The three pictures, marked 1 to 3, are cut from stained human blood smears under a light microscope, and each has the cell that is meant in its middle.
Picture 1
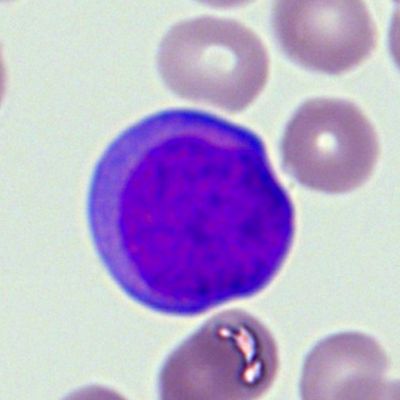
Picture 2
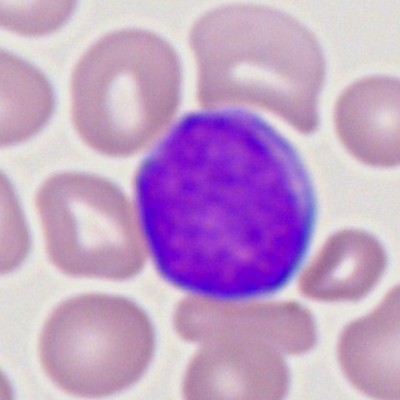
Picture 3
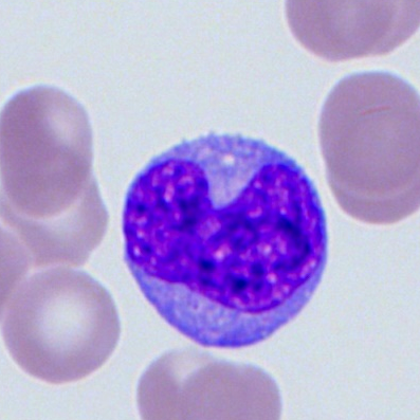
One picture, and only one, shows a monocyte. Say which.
3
